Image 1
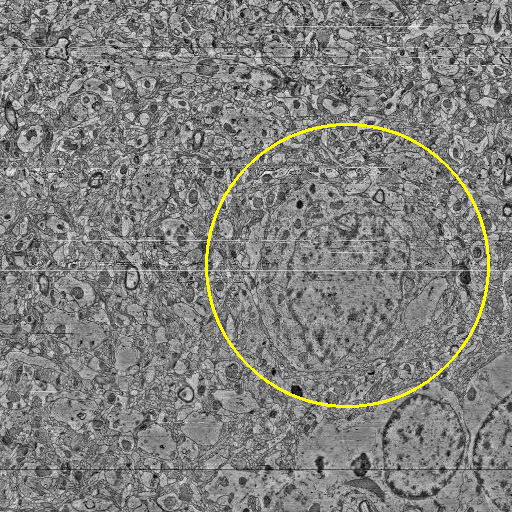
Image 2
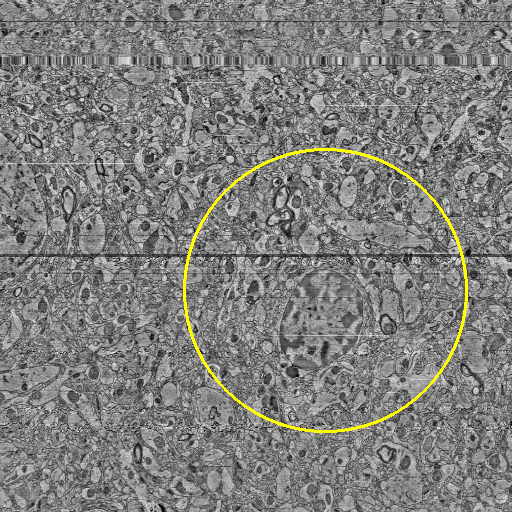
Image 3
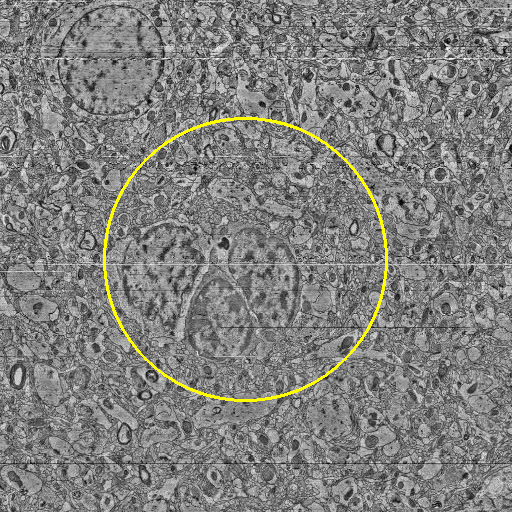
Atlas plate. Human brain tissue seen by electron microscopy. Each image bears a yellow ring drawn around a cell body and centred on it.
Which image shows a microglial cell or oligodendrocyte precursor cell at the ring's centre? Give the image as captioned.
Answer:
Image 2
